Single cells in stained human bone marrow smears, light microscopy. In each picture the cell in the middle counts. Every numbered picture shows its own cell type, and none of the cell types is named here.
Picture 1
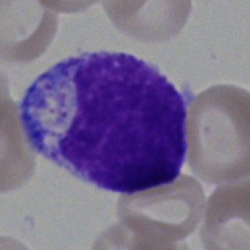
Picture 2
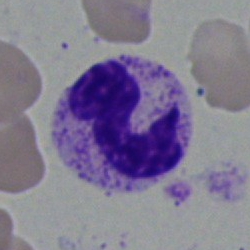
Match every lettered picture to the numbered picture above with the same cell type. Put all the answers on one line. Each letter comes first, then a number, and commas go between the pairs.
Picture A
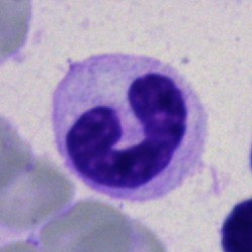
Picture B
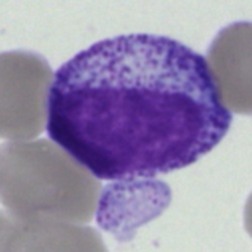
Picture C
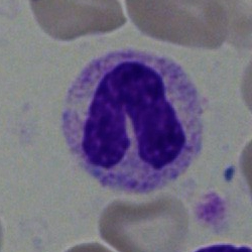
A 2, B 1, C 2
